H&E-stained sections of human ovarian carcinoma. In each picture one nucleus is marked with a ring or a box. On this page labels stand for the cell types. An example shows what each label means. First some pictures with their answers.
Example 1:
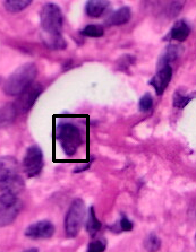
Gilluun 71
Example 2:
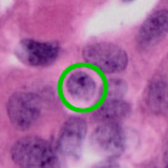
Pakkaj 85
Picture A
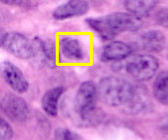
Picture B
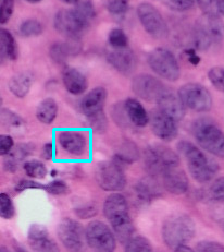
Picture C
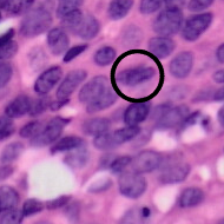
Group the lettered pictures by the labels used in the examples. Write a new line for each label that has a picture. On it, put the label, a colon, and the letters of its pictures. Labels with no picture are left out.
Gilluun 71: C
Pakkaj 85: A, B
